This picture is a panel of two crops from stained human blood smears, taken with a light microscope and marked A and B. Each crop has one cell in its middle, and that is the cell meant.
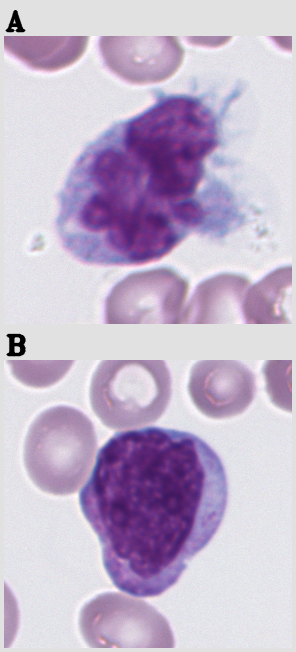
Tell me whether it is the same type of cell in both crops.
no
